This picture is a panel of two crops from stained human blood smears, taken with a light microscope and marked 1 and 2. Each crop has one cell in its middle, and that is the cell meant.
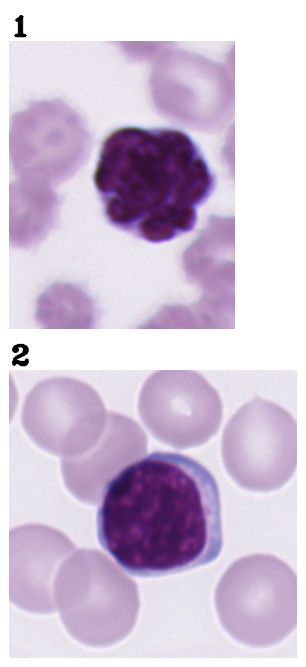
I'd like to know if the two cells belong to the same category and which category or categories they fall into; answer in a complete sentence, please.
Yes, both crops have lymphocytes as their central cells.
